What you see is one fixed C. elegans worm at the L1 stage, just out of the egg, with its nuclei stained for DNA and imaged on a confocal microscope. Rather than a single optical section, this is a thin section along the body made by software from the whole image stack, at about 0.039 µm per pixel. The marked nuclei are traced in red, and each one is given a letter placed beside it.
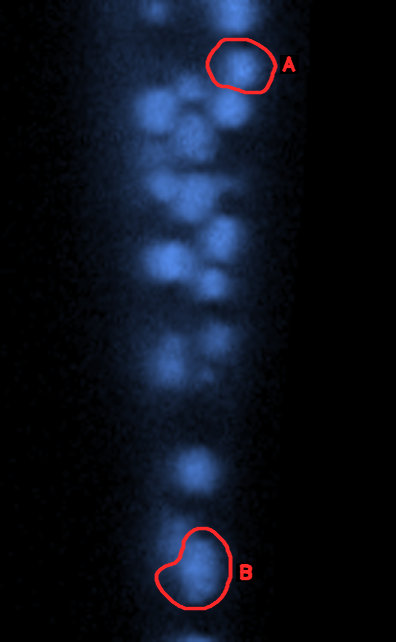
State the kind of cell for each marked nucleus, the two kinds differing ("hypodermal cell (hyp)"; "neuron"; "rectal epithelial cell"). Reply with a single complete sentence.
A is the nucleus of a neuron; B is the nucleus of a hypodermal cell (hyp).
